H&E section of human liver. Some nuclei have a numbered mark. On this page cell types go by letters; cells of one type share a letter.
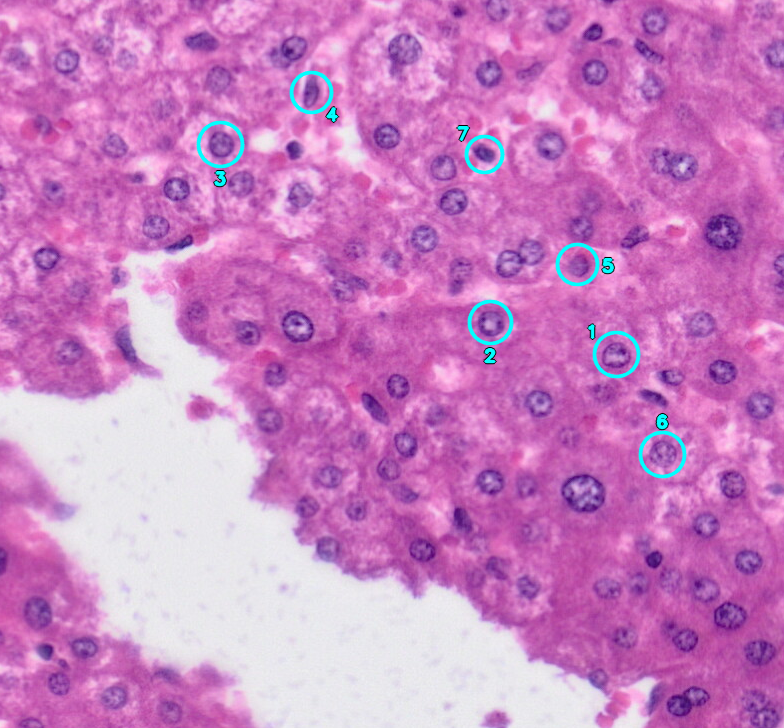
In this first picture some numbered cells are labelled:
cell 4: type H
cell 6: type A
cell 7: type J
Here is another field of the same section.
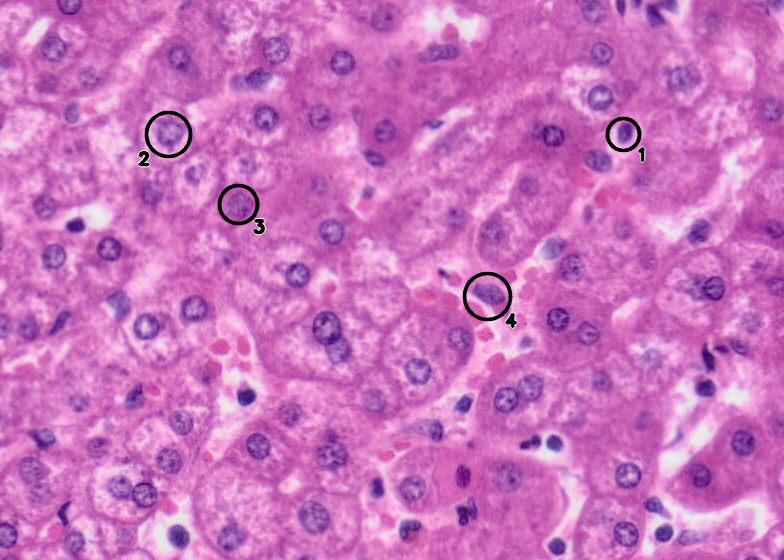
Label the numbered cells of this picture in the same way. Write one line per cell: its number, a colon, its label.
1: type J
2: type A
3: type A
4: type H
